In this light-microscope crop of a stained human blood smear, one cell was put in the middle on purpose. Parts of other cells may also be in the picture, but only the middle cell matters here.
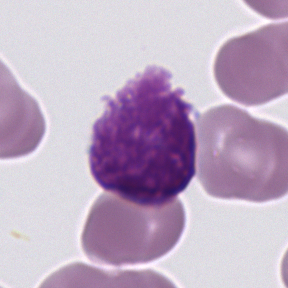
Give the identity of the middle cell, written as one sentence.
The cell around which this crop is centred is a smudge cell.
